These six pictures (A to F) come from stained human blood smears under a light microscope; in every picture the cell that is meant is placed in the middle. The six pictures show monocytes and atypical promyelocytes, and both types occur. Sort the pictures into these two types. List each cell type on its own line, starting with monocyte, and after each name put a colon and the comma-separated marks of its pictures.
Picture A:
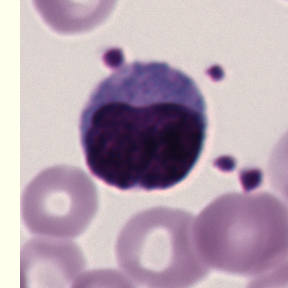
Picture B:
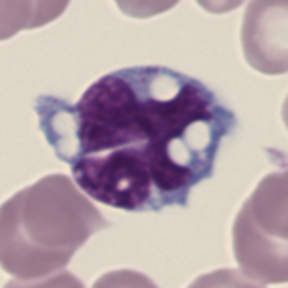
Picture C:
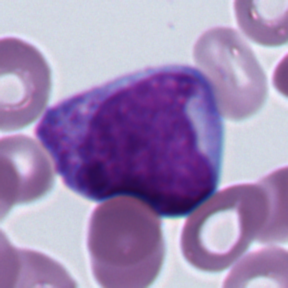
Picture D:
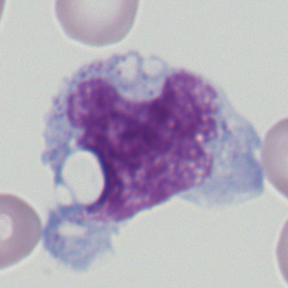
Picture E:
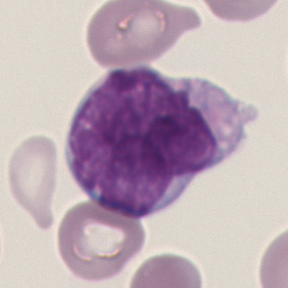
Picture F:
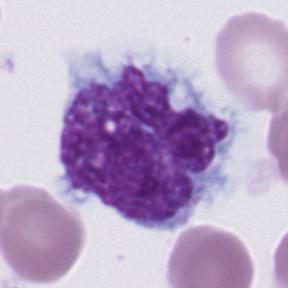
monocyte: A, B, D, F
atypical promyelocyte: C, E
